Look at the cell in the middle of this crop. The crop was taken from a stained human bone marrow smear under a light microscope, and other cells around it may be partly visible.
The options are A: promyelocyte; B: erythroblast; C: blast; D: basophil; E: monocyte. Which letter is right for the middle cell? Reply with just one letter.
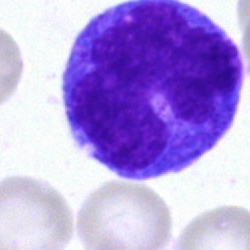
E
